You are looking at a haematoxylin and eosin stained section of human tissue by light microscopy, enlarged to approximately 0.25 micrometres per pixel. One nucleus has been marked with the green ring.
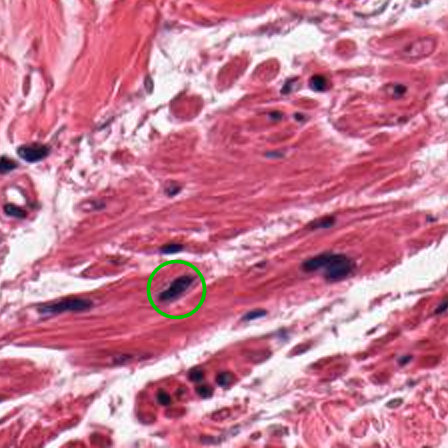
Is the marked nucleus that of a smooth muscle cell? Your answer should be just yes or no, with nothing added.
yes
